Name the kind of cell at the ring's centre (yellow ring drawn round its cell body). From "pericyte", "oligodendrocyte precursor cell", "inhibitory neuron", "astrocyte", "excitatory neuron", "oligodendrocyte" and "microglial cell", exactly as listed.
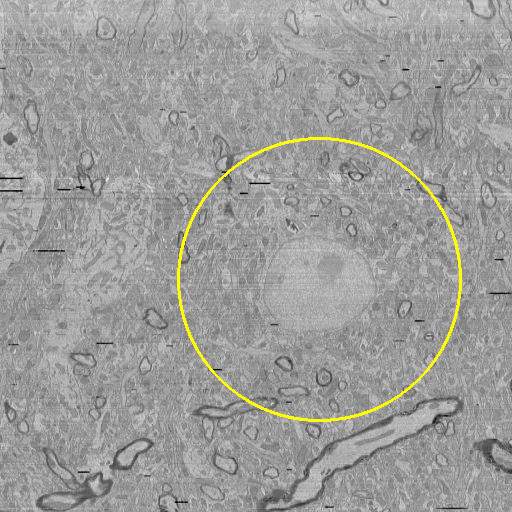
astrocyte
